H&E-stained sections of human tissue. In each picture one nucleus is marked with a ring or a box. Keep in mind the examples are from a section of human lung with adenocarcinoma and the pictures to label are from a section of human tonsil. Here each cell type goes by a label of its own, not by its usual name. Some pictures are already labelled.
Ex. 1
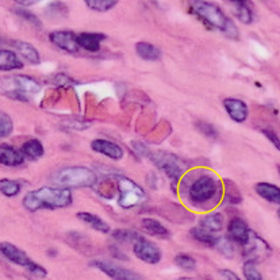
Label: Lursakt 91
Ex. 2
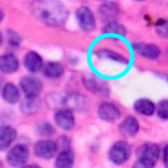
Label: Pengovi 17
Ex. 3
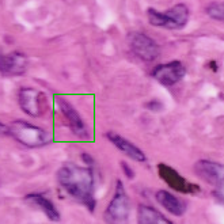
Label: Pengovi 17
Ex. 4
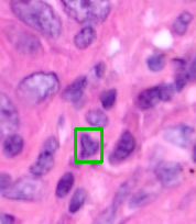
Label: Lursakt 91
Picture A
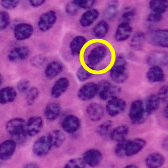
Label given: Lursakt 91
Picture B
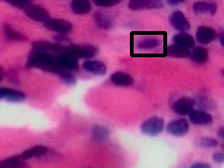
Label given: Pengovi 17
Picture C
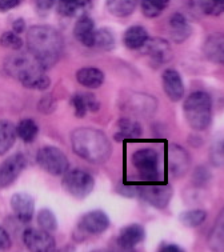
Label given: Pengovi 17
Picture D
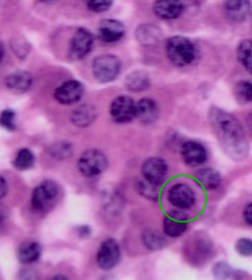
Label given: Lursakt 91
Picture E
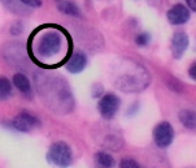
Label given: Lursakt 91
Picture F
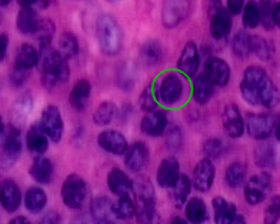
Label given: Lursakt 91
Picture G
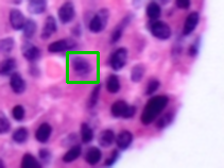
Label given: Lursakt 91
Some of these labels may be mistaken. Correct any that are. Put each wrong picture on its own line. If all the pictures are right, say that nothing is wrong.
E: change Lursakt 91 to Pengovi 17
G: change Lursakt 91 to Pengovi 17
